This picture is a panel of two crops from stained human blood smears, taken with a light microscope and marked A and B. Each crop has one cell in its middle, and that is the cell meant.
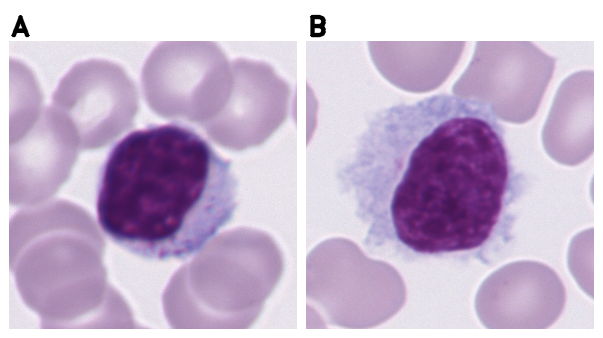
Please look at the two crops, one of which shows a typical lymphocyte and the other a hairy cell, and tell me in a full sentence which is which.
In this set, crop A shows a typical lymphocyte and crop B shows a hairy cell.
